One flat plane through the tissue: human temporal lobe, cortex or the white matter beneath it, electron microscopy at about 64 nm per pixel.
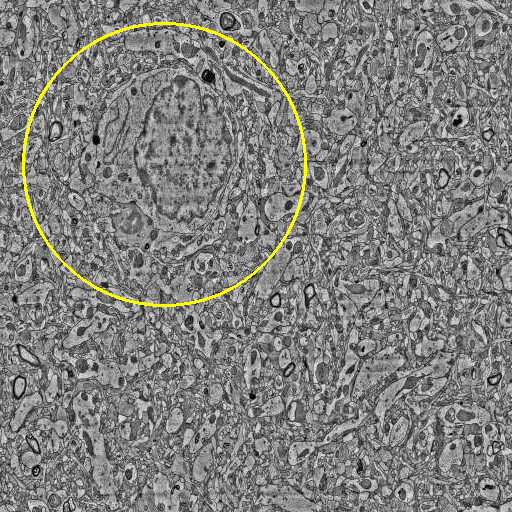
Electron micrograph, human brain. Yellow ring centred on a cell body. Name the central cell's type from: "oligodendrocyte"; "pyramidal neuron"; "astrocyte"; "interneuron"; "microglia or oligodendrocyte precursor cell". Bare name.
interneuron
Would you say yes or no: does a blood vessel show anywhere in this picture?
No, there is none.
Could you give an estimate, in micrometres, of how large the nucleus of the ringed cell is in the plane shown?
The nucleus measures about 9 by 6 micrometres in this plane.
